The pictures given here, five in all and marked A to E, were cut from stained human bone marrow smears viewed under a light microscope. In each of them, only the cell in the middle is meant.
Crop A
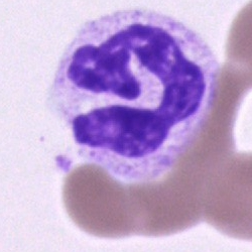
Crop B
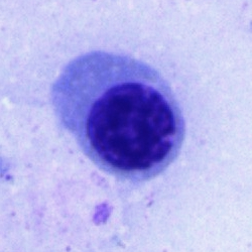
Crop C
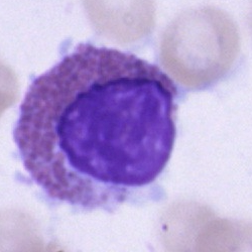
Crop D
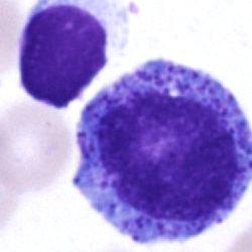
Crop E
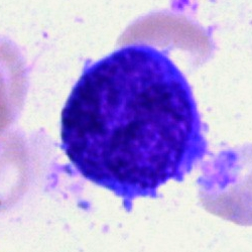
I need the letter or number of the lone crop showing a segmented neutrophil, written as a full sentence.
Crop A is the crop that displays a segmented neutrophil.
